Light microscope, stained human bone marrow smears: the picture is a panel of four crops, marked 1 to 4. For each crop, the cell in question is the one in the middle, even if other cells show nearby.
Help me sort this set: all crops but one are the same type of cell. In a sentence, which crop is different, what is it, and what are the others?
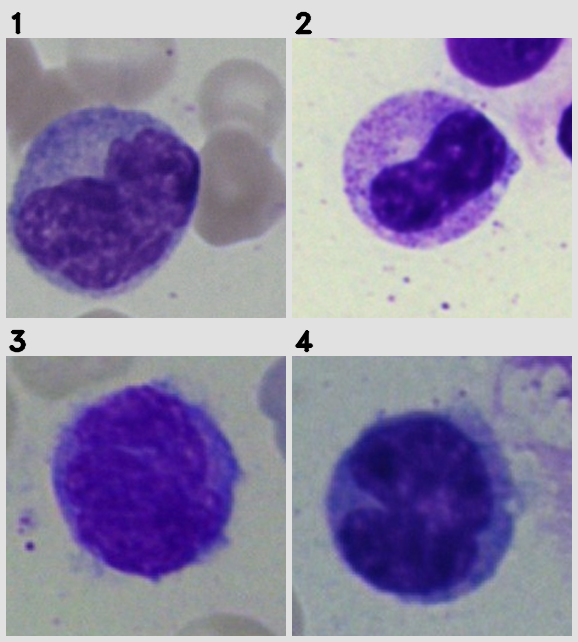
The outlier here is crop 2, which is a band neutrophil, while the remainder show monocytes.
